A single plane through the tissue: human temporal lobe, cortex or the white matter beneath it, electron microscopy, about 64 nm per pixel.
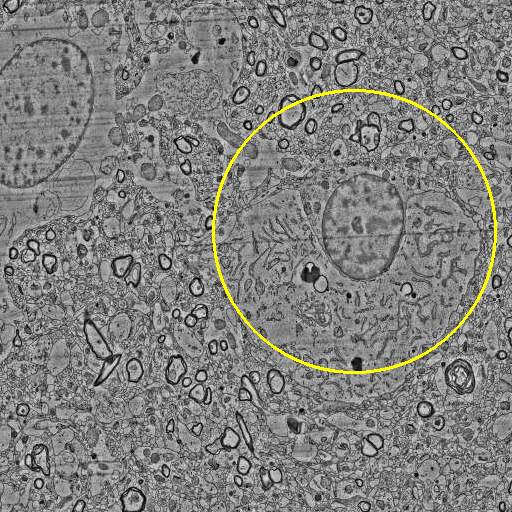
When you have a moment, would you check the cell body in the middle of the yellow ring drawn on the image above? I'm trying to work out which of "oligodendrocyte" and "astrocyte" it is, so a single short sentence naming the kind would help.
This cell body belongs to an oligodendrocyte.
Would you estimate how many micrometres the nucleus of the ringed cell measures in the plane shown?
In this plane, the nucleus is roughly 7 by 5 micrometres.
